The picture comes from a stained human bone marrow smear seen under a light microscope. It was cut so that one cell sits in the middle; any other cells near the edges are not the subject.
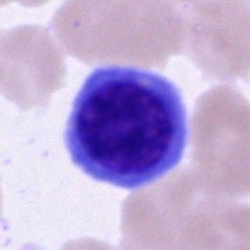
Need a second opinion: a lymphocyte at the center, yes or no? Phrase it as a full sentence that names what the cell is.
No, the middle cell is actually an erythroblast rather than a lymphocyte.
